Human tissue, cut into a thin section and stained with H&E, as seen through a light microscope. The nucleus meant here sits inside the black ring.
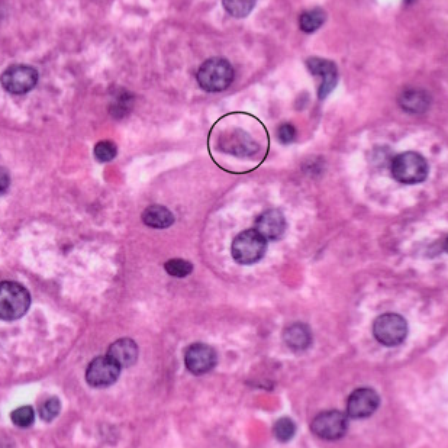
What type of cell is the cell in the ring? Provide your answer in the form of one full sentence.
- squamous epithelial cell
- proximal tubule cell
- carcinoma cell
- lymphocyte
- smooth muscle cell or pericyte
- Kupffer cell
In cellular terms, the cell in the ring is a Kupffer cell.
